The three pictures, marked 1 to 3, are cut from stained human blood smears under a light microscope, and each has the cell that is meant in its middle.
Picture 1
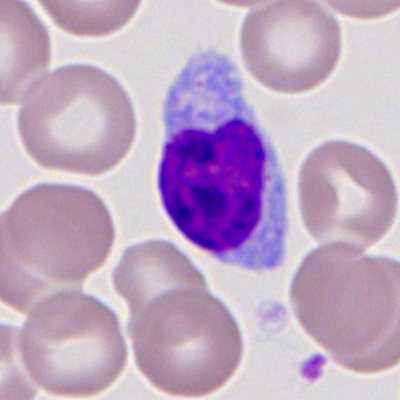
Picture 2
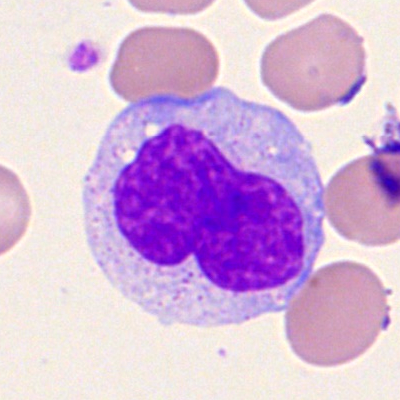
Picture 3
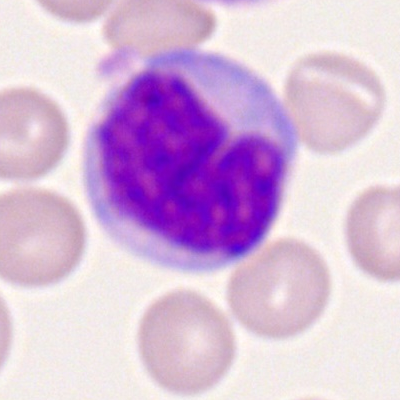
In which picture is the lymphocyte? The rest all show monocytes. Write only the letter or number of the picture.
1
